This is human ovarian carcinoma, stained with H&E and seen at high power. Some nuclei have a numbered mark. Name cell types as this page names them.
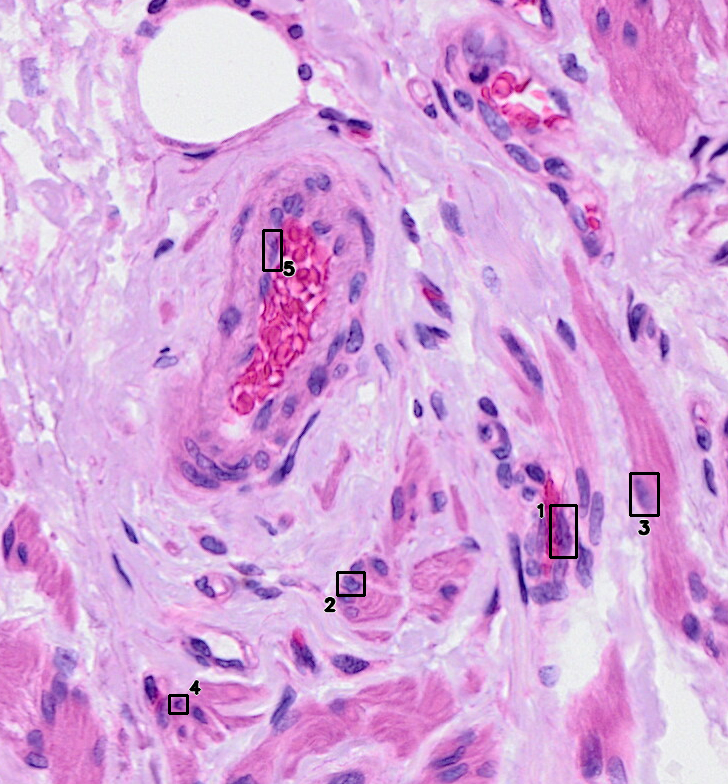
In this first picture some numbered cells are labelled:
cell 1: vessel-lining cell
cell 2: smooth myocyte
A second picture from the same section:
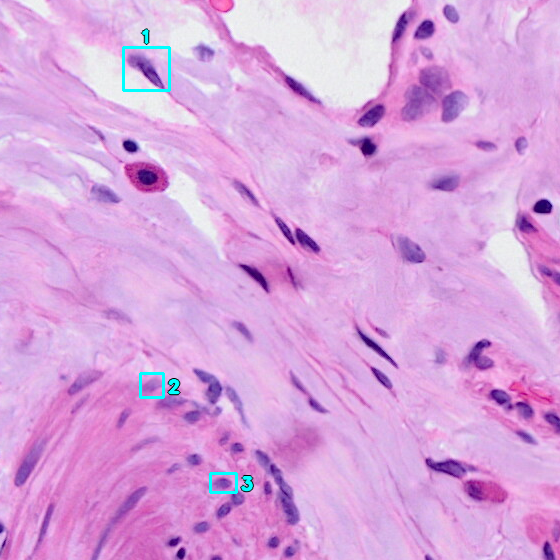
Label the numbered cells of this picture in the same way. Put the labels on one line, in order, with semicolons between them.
vessel-lining cell; smooth myocyte; smooth myocyte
